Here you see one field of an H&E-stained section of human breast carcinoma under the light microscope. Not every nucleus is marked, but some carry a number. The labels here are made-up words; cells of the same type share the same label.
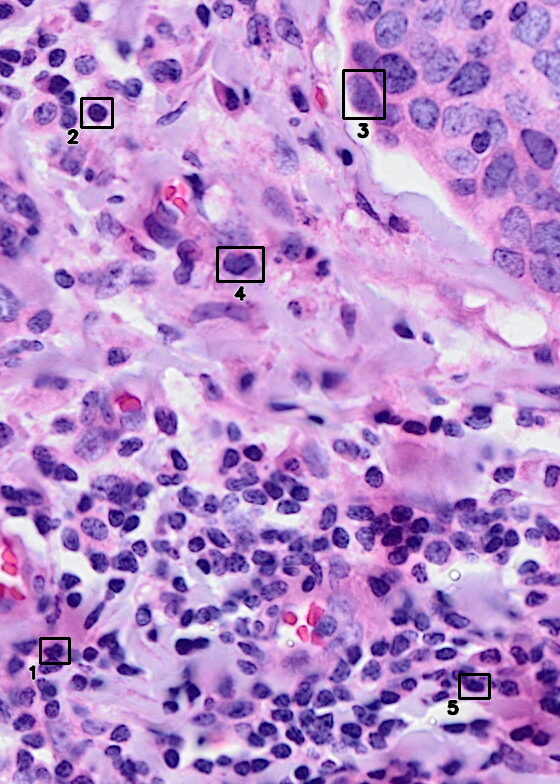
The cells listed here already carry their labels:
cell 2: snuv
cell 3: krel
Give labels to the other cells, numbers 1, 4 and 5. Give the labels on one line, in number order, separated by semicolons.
snuv; krel; snuv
